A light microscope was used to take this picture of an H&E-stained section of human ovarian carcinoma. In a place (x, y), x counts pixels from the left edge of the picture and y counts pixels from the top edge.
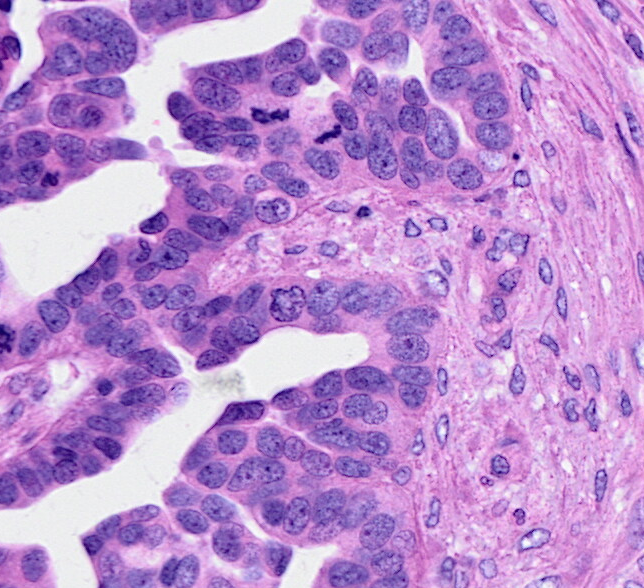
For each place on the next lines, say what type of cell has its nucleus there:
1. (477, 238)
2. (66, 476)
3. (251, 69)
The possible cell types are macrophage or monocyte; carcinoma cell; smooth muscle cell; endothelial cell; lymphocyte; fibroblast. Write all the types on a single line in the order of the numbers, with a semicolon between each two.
fibroblast; carcinoma cell; carcinoma cell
